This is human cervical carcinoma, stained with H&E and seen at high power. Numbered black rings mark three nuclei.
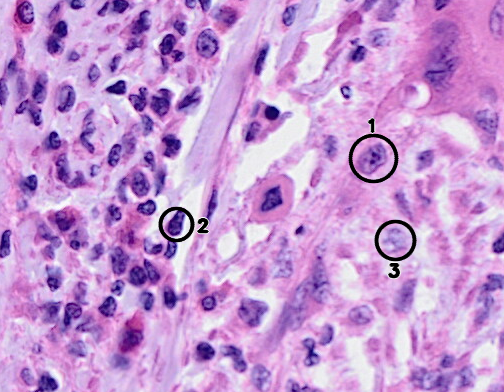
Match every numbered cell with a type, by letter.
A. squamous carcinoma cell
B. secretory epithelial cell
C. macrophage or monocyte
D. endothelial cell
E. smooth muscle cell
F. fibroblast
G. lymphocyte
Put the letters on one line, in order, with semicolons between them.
C; G; F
